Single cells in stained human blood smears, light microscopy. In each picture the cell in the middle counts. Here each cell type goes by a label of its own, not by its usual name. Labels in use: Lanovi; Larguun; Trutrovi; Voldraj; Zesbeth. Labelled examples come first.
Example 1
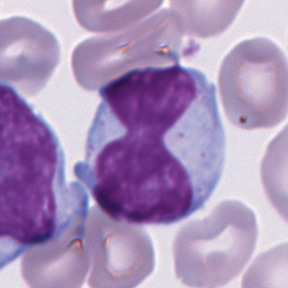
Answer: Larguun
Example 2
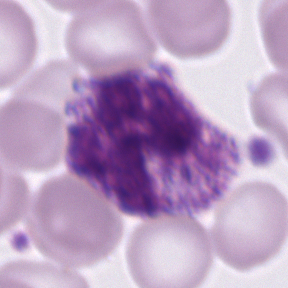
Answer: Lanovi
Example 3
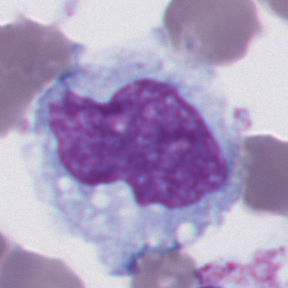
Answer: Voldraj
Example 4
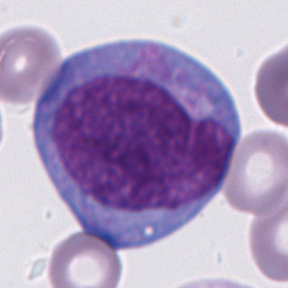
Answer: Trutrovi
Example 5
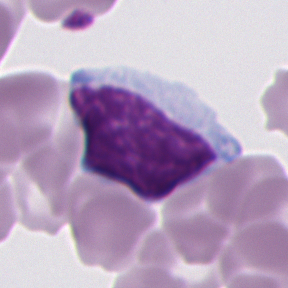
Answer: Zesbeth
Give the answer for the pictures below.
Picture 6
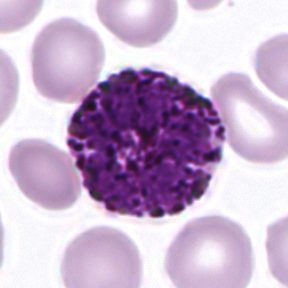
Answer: Lanovi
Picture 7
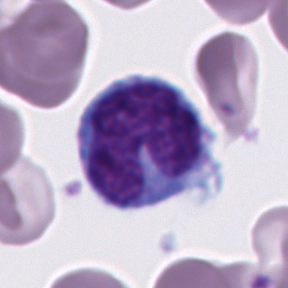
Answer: Voldraj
